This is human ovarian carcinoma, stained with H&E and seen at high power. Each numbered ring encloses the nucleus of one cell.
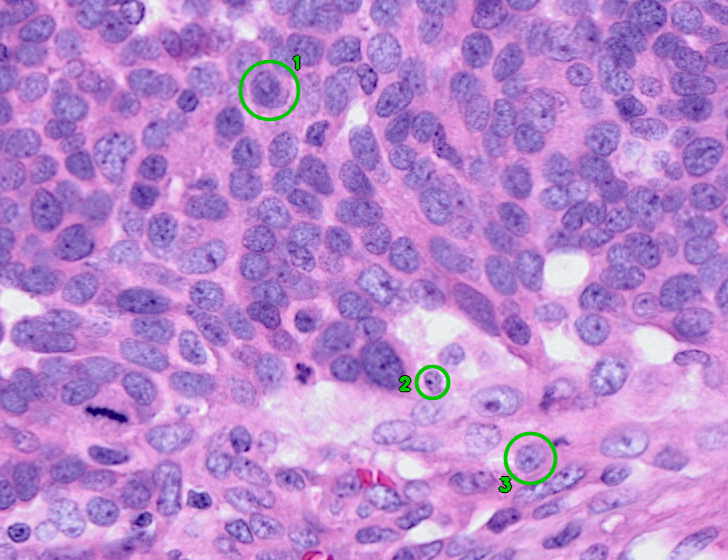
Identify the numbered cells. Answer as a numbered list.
1. carcinoma cell
2. macrophage or monocyte
3. fibroblast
